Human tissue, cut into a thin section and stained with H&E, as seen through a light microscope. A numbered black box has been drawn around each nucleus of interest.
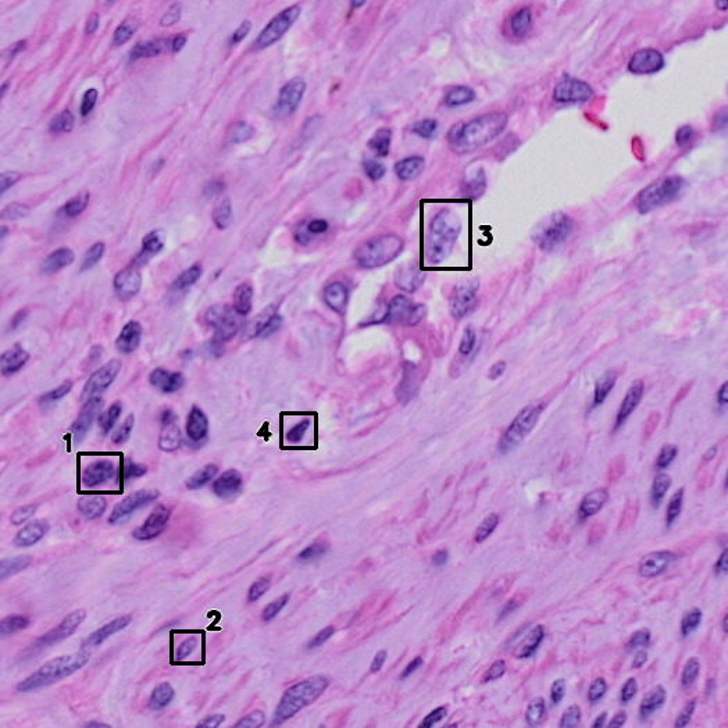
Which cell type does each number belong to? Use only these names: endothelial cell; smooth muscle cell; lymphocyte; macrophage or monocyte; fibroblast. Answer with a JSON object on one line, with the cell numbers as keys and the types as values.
{"1": "lymphocyte", "2": "smooth muscle cell", "3": "endothelial cell", "4": "lymphocyte"}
